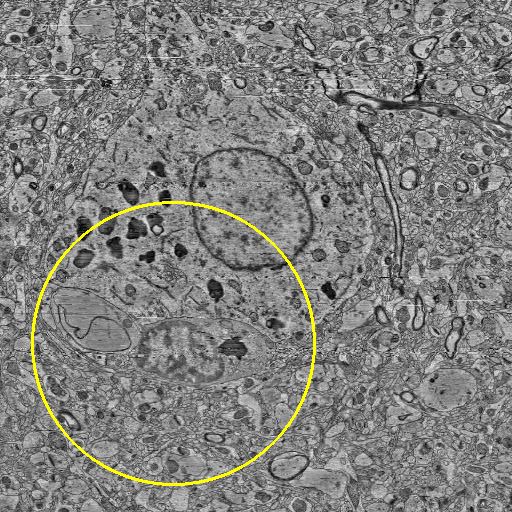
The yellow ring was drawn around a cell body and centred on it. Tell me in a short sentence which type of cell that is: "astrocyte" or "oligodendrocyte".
The cell at the ring's centre is an oligodendrocyte.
